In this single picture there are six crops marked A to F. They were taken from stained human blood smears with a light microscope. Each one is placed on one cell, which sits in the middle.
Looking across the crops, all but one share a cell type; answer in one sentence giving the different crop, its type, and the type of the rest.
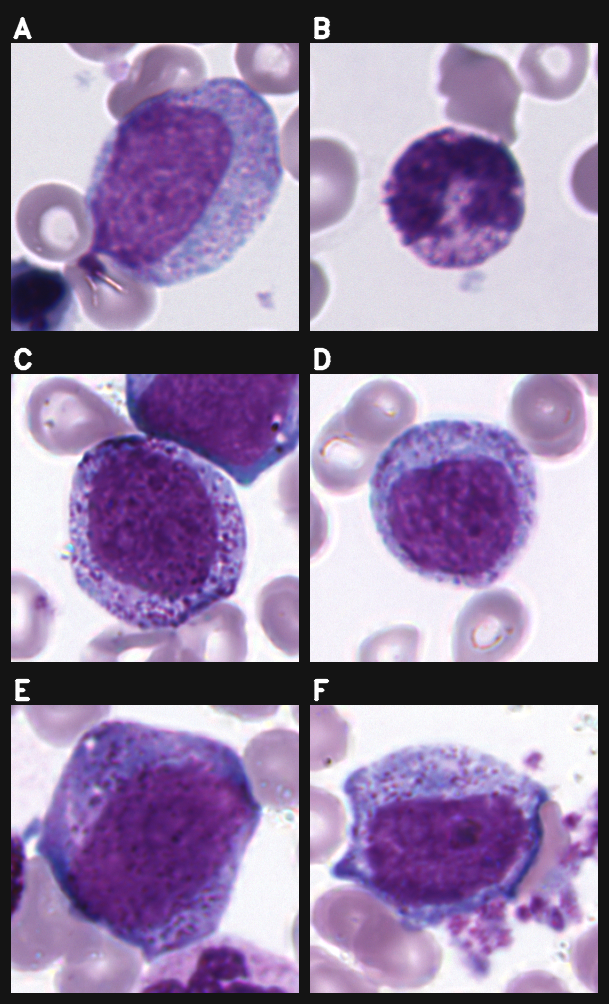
Found in all crops but one are promyelocytes; the exception, crop B, contains a basophil.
